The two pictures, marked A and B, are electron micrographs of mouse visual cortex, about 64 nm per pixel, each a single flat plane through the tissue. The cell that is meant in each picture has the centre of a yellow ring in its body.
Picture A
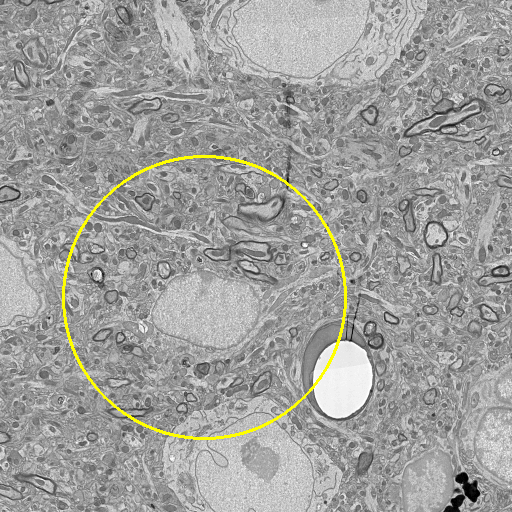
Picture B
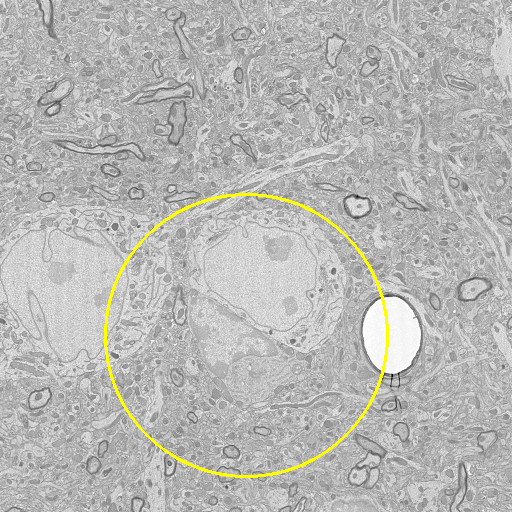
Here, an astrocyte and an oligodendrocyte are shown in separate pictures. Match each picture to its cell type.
Picture A is of an astrocyte, and picture B is of an oligodendrocyte.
